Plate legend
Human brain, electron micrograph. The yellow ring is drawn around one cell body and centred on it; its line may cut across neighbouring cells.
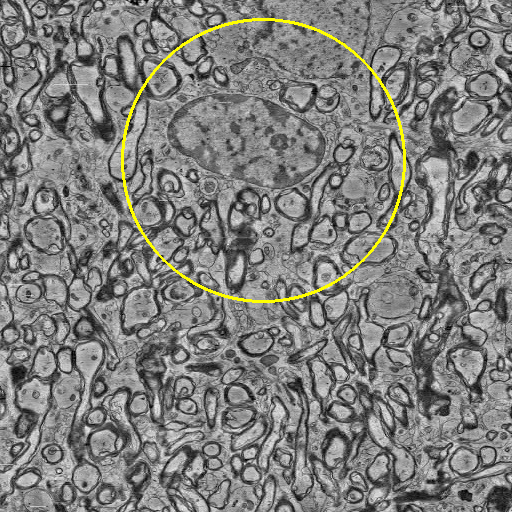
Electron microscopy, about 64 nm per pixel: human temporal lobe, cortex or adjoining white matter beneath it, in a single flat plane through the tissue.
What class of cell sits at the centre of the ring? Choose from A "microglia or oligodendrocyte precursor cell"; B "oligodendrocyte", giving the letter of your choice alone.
A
